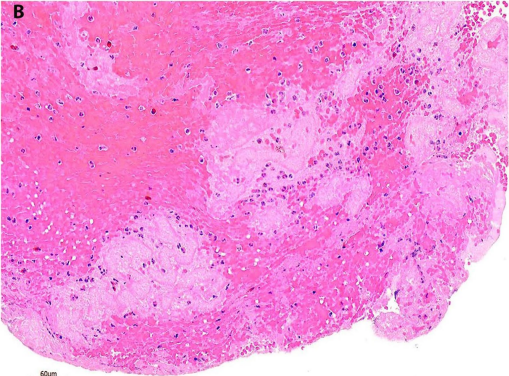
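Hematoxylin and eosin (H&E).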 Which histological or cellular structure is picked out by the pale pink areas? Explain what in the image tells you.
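Pale pink, finely granular patches without red cells. These patches are set among the deeper red areas. On this evidence: fibrin/platelets.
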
